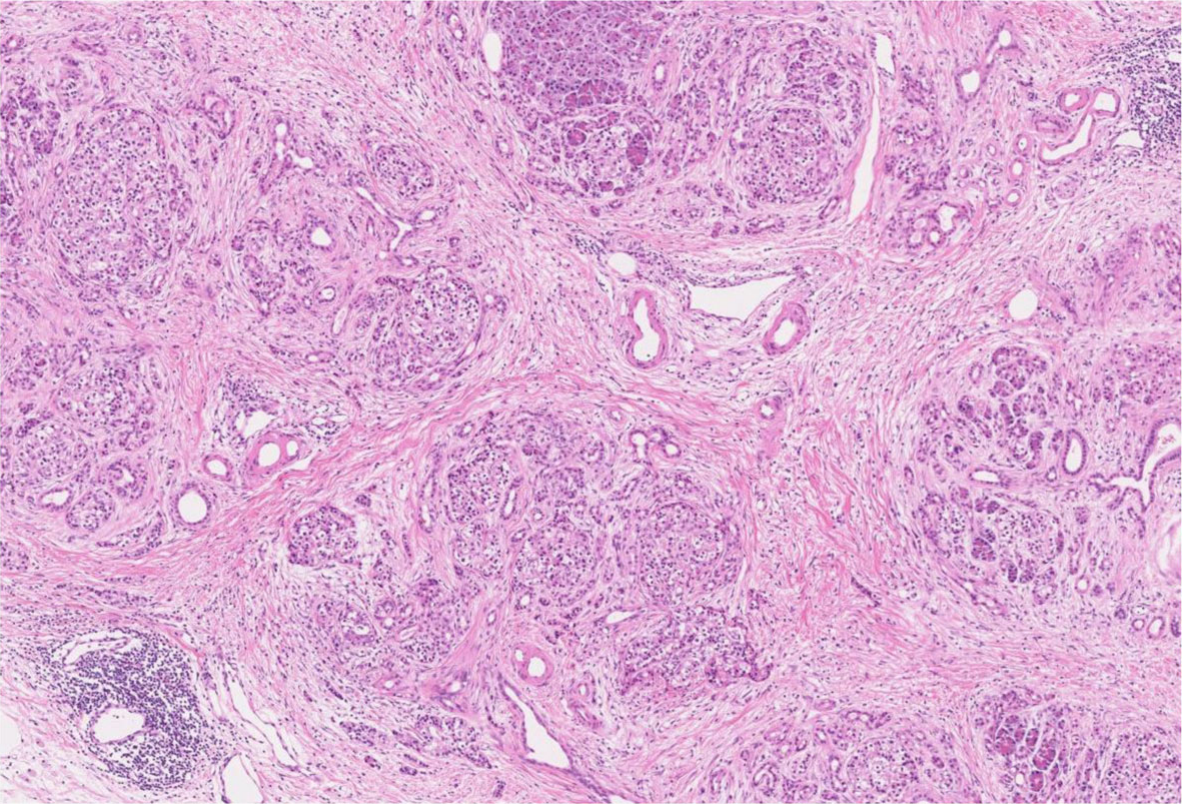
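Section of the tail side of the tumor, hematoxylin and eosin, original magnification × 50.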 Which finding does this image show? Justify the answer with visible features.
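Broad bands of pale pink fibrous tissue with spindle-shaped nuclei separate the lobules. The fibrous bands wrap around each lobule. So: fibrosis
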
